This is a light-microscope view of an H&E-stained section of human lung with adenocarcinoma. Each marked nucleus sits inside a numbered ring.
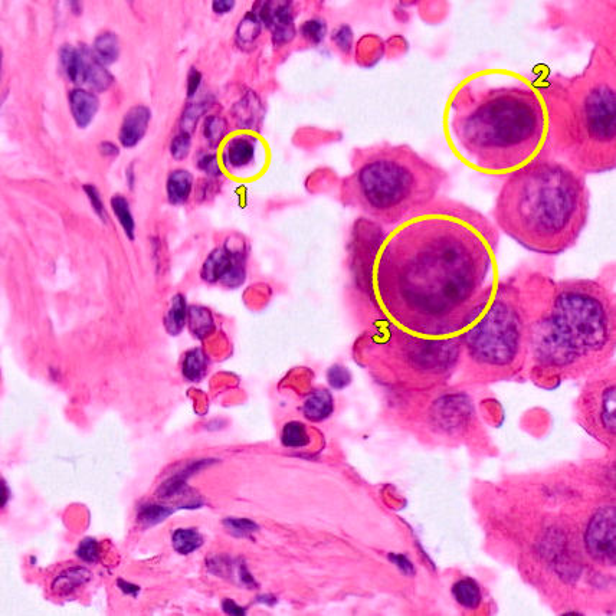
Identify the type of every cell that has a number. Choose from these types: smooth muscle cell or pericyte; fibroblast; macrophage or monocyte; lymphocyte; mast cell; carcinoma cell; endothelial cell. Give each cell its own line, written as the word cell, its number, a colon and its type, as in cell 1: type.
cell 1: lymphocyte
cell 2: carcinoma cell
cell 3: carcinoma cell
